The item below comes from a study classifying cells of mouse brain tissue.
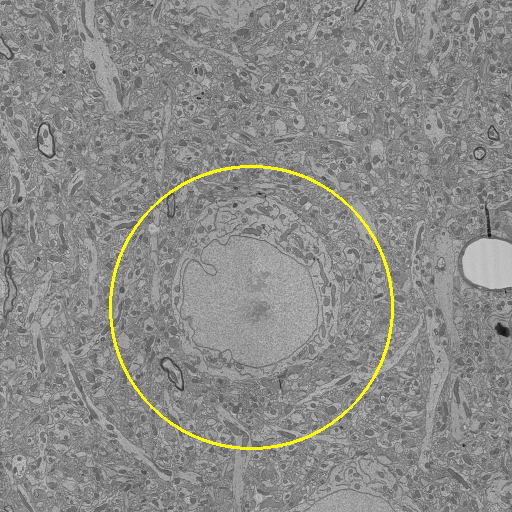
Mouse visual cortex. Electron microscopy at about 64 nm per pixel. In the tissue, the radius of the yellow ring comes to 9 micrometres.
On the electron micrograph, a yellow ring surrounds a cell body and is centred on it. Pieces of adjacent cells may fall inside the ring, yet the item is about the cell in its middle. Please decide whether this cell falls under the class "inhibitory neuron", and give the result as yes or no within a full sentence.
Yes, the cell at the middle of the ring on the micrograph belongs in that class.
